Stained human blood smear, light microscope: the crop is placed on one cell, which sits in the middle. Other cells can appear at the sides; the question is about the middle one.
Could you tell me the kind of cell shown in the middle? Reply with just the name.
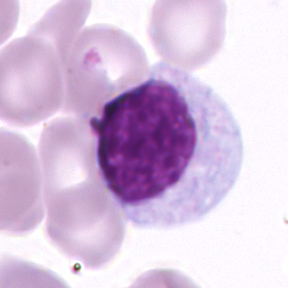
metamyelocyte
